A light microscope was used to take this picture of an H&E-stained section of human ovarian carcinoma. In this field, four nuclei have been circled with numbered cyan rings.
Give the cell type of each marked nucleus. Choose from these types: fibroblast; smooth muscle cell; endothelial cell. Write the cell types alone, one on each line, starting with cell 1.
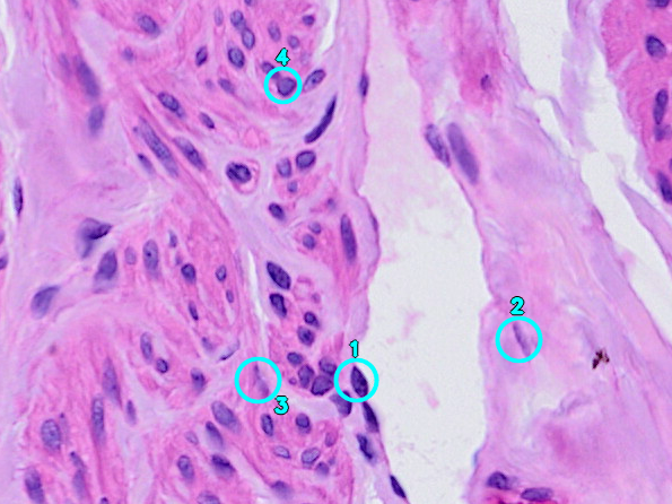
endothelial cell
fibroblast
smooth muscle cell
smooth muscle cell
